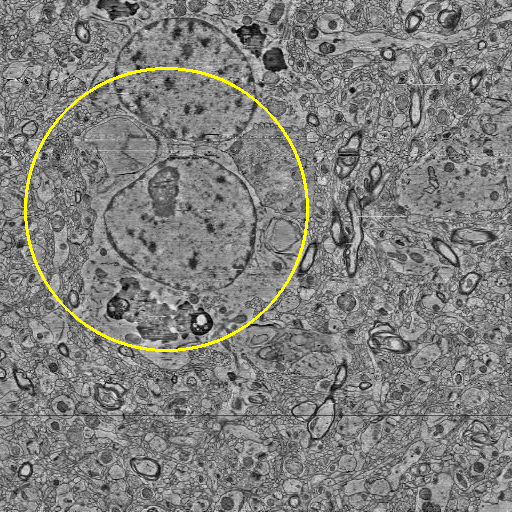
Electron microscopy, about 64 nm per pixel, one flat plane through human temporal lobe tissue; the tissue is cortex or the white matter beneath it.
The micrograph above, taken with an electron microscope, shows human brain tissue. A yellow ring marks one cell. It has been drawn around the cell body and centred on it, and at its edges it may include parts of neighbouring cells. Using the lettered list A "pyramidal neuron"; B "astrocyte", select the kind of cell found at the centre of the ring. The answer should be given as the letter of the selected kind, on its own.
B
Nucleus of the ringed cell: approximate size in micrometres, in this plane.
Approximately 9 micrometres across in this plane.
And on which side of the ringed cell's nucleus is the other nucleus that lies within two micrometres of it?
That other nucleus is above it.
